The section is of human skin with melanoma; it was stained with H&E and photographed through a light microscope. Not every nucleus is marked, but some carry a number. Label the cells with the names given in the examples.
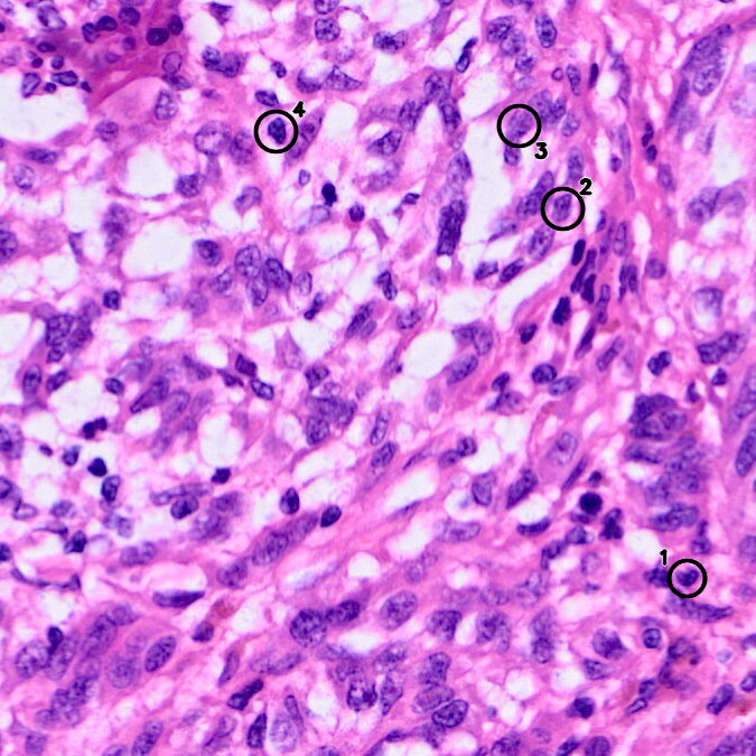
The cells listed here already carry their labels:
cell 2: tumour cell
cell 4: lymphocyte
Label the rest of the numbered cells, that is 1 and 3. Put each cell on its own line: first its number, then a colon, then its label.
1: lymphocyte
3: tumour cell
